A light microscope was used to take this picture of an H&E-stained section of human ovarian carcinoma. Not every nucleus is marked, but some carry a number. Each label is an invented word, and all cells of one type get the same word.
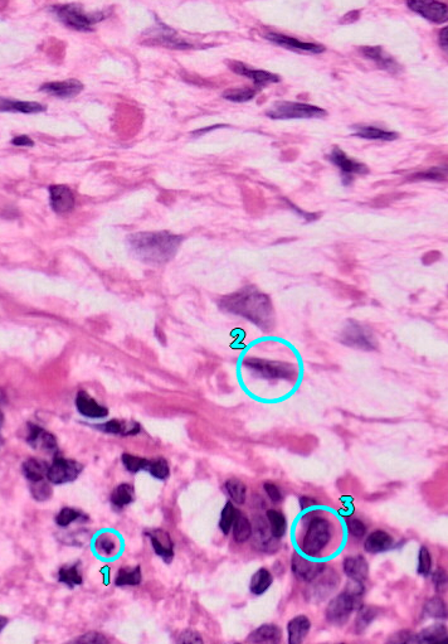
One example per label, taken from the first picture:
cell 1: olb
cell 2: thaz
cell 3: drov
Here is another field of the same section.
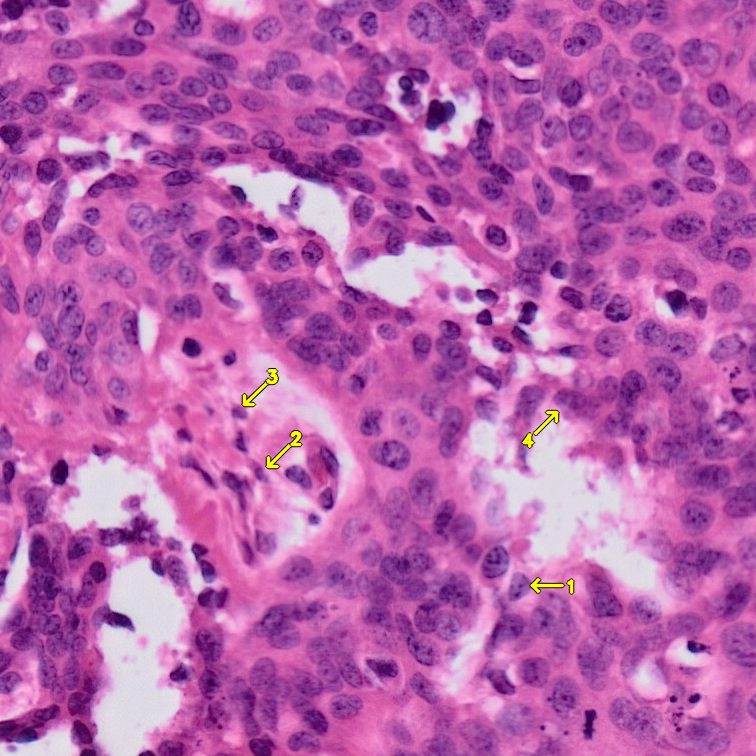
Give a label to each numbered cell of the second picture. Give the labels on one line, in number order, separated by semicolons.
olb; thaz; thaz; drov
